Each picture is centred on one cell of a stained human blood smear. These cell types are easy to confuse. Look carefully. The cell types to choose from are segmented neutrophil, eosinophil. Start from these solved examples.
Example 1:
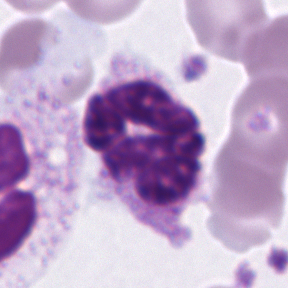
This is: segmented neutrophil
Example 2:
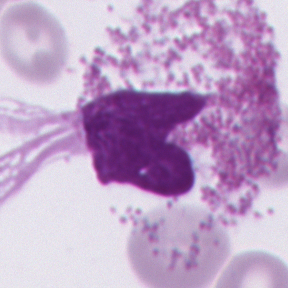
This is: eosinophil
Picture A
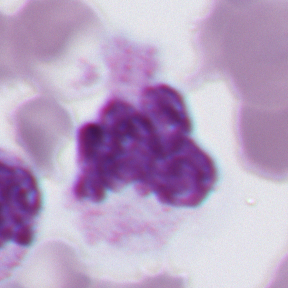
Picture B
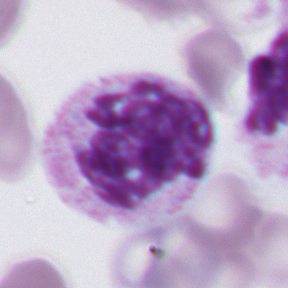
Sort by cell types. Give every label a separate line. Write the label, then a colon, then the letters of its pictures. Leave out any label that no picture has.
segmented neutrophil: A, B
